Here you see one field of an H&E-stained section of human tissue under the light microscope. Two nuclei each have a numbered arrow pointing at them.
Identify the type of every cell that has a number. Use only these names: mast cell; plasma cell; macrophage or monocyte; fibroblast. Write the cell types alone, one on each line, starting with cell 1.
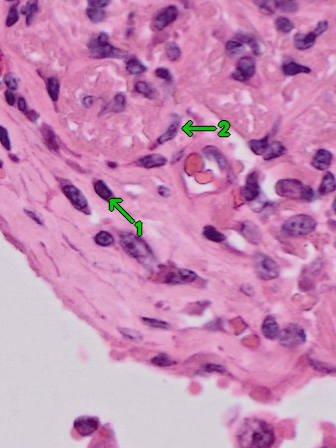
plasma cell
fibroblast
